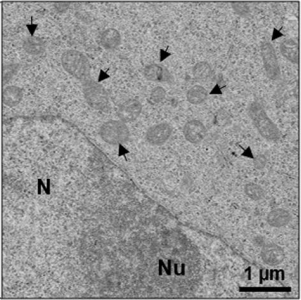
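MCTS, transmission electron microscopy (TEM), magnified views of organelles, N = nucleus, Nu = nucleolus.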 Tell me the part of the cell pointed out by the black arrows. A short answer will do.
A: mitochondria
